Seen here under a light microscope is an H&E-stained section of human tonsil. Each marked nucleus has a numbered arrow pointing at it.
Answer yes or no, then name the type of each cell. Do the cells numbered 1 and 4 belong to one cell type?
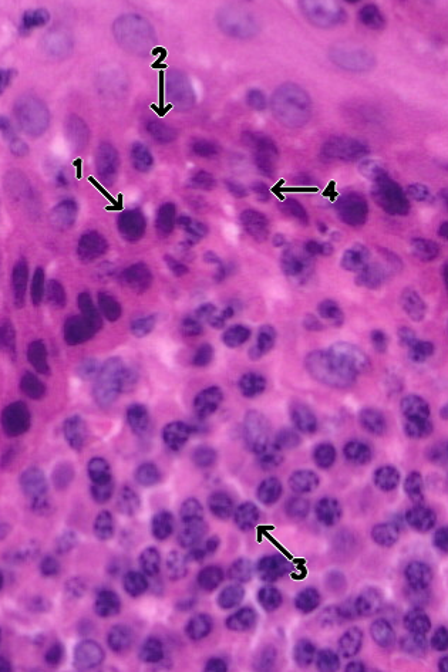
Yes, both are squamous epithelial cells.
